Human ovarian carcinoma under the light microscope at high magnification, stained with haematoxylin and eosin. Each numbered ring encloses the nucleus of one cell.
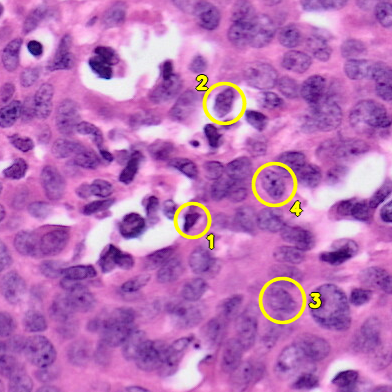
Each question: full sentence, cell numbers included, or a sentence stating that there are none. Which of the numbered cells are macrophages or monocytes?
Cell 4 is a macrophage or monocyte; every other numbered cell is something else.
